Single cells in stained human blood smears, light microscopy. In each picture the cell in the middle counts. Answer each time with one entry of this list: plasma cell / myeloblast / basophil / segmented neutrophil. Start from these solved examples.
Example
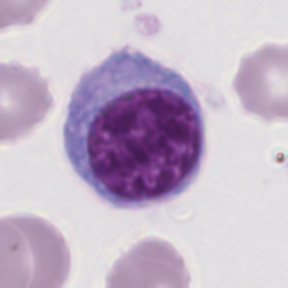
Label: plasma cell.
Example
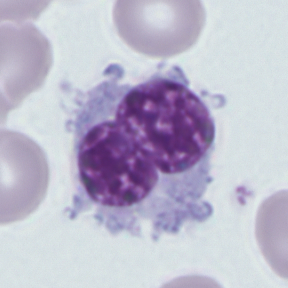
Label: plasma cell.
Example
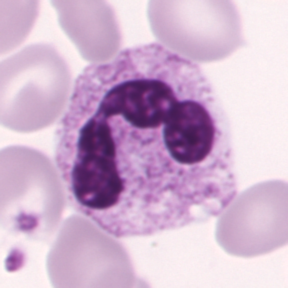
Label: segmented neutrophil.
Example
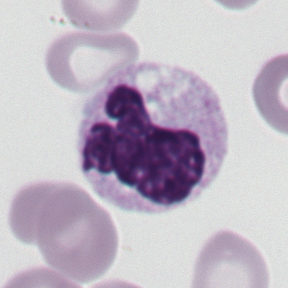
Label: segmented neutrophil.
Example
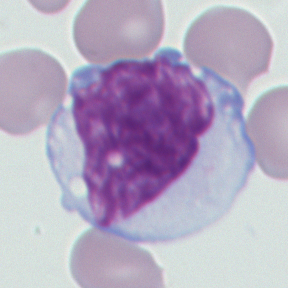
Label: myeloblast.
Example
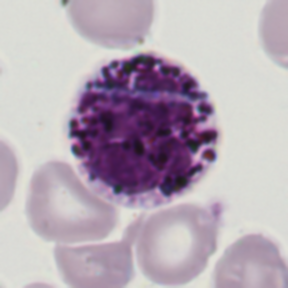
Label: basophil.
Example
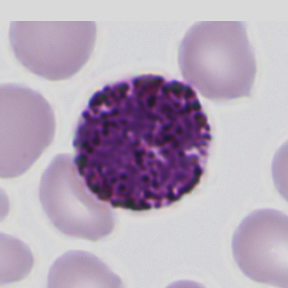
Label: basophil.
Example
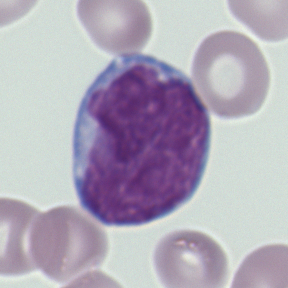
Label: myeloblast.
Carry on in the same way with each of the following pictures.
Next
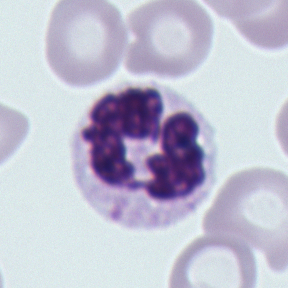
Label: segmented neutrophil.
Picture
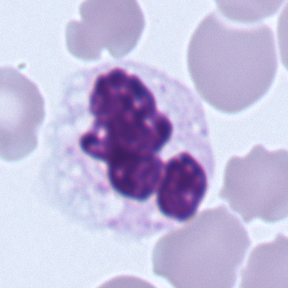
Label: segmented neutrophil.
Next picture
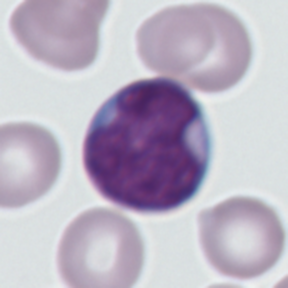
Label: myeloblast.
